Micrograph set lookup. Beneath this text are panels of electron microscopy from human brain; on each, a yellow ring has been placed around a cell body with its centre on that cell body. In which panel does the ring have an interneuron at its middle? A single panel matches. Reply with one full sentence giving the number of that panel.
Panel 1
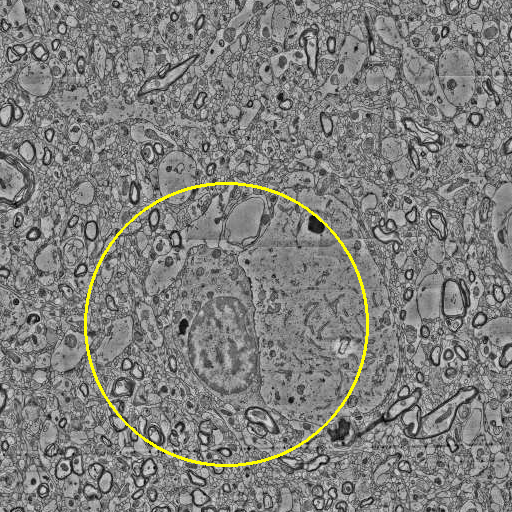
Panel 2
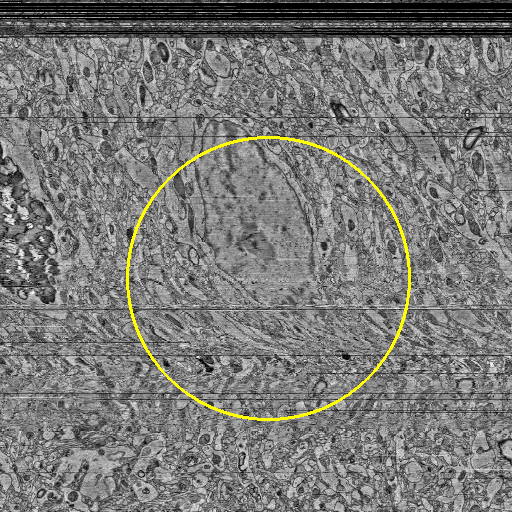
Panel 2 is the one whose ring has the sought cell at its centre.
